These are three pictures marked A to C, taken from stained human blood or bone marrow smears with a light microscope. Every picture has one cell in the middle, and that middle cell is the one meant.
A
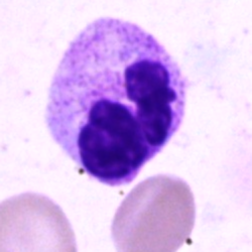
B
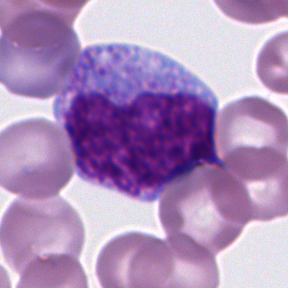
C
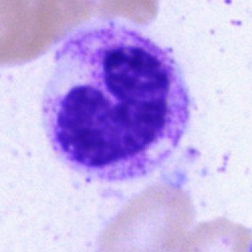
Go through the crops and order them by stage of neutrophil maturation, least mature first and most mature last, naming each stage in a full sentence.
Ordering the crops by maturity, least first, gives crop B (a myelocyte), crop C (a band neutrophil) and crop A (a segmented neutrophil).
